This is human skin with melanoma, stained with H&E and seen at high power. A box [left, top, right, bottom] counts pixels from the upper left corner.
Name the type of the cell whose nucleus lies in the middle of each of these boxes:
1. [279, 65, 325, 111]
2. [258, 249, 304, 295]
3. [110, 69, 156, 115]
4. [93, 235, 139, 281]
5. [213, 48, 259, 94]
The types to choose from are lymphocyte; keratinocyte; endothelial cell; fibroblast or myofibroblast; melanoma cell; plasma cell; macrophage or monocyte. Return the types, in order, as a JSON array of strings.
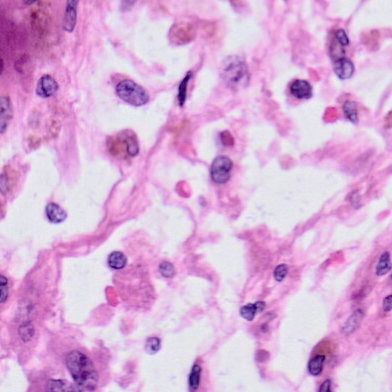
["macrophage or monocyte", "lymphocyte", "macrophage or monocyte", "lymphocyte", "fibroblast or myofibroblast"]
